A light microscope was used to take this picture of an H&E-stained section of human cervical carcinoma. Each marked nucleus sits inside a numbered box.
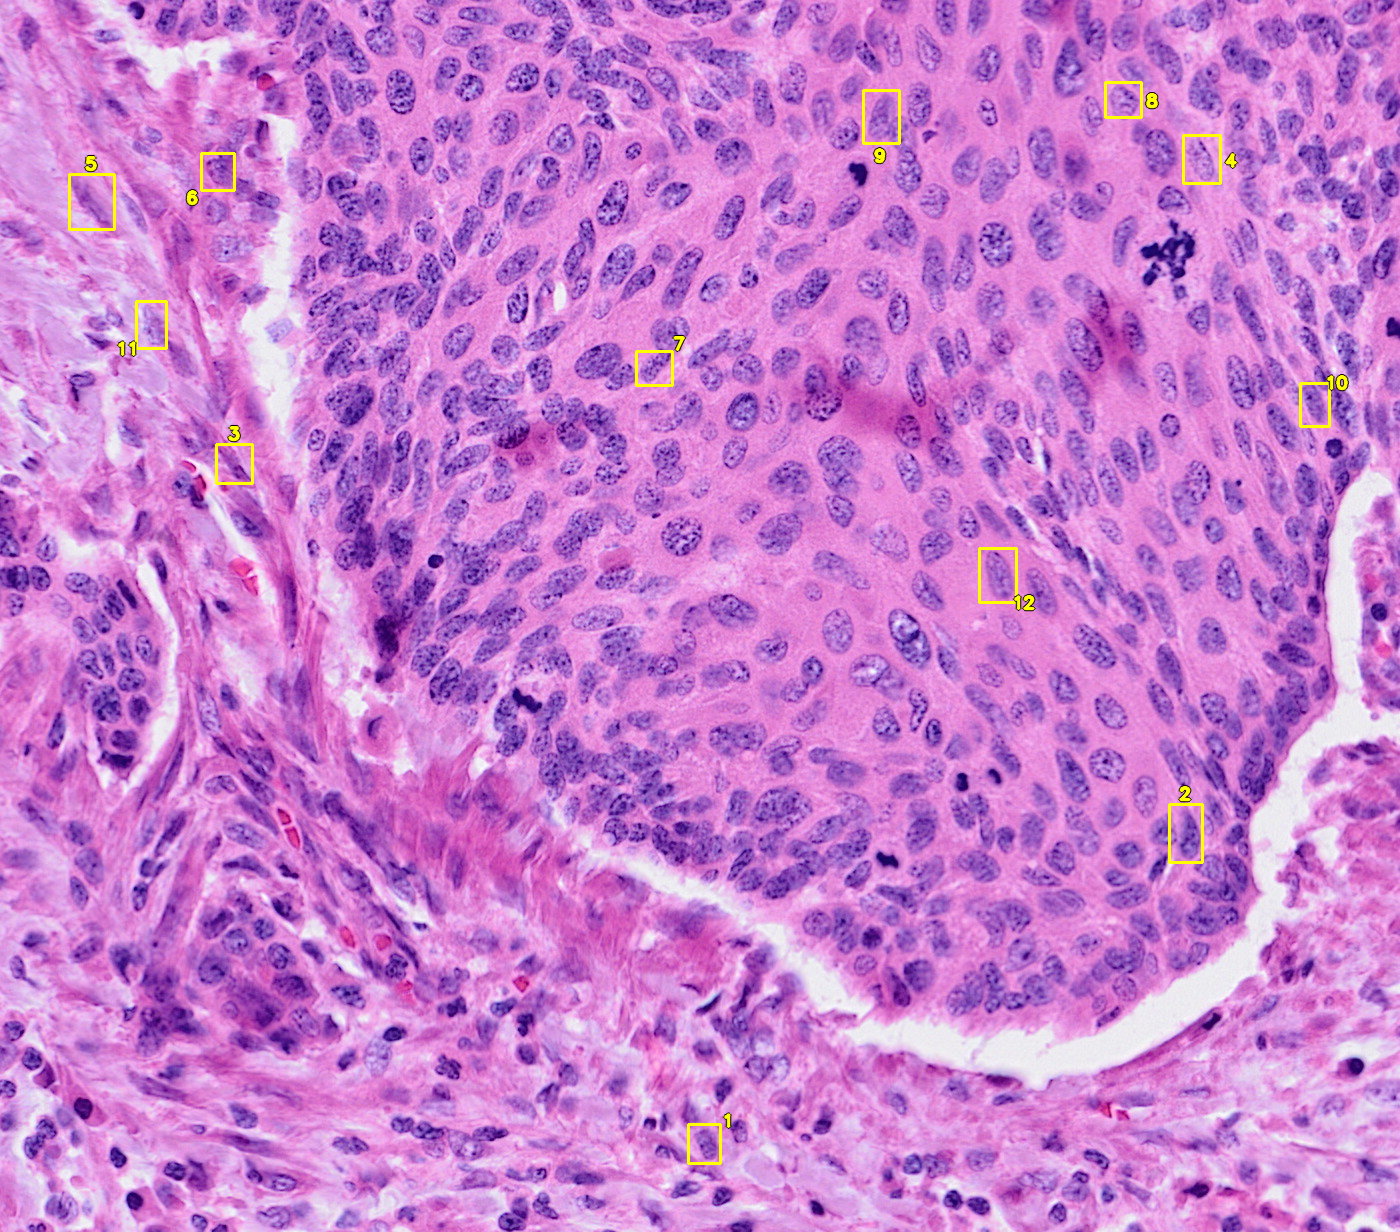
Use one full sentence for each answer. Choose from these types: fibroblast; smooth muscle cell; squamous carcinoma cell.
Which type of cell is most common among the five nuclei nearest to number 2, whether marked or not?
Squamous carcinoma cells account for more than half of the five nuclei nearest to number 2.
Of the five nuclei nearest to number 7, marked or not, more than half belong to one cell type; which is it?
Around number 7, most of the five nearest nuclei are those of squamous carcinoma cells.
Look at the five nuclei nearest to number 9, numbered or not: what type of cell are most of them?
Most of the five nuclei nearest to number 9 are those of squamous carcinoma cells.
